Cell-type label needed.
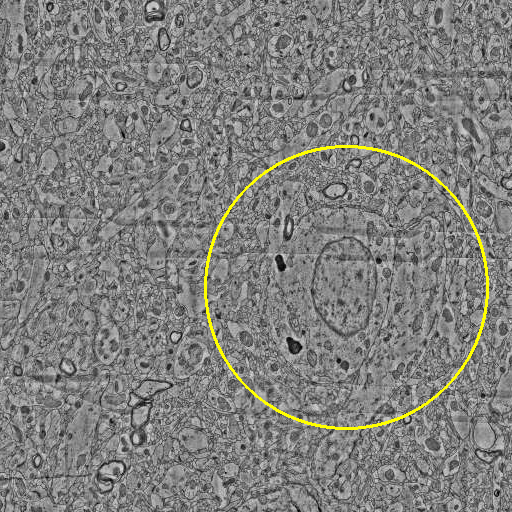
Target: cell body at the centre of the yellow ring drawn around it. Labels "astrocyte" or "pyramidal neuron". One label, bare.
pyramidal neuron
